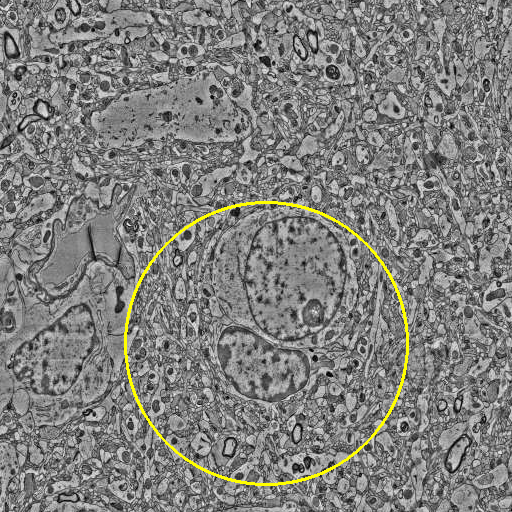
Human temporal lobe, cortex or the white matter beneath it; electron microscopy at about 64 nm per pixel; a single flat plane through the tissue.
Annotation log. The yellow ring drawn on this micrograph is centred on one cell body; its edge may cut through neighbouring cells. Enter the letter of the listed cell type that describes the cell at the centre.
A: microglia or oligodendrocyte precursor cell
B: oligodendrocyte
A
